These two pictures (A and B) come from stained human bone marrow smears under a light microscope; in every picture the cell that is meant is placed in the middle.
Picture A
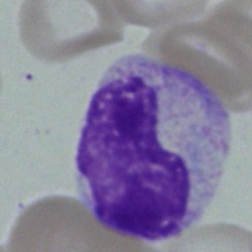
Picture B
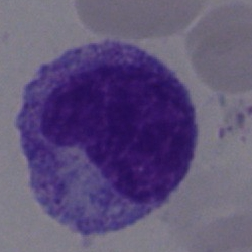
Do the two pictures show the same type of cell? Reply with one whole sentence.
Yes, both are metamyelocytes.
